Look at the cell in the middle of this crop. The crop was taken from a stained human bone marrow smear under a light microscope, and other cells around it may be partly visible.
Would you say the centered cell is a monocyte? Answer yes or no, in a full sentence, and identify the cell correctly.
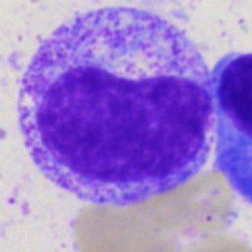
No, the central cell is not a monocyte; it is a myelocyte.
